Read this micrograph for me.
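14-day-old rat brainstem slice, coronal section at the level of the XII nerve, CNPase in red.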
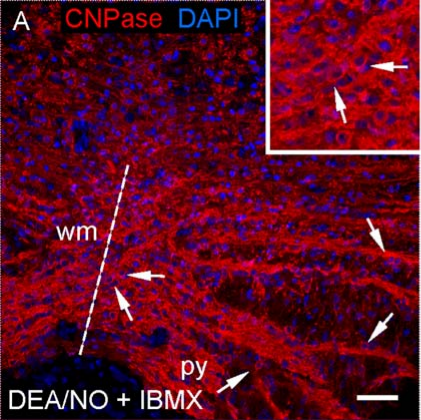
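Scattered through and beside these bundles lie many small cells whose round blue nuclei sit within a thin red rim of cytoplasm; these are oligodendrocytes, the myelin-forming cells, and their red processes blend into the fibre tracts. Between the bundles, darker patches of tissue hold more loosely spaced nuclei. The enlargement in the corner shows two such cells closely, each a compact round nucleus wrapped by red-stained cytoplasm among interlacing fibres.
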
